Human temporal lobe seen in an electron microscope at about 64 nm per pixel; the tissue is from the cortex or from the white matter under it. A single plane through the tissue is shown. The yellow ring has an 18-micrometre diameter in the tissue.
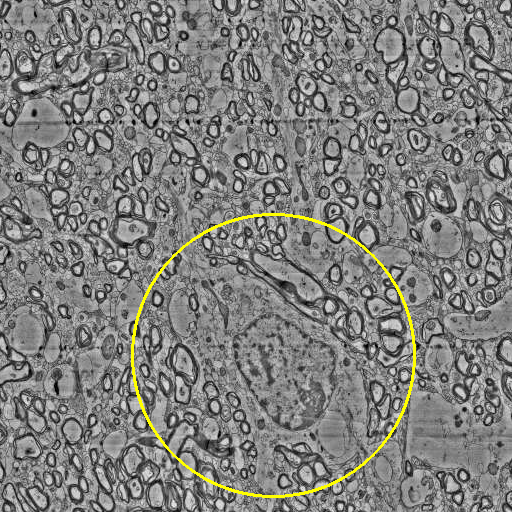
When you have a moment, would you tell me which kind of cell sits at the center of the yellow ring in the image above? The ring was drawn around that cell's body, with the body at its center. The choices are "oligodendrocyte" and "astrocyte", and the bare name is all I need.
astrocyte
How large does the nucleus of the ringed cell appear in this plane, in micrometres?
The nucleus appears roughly 8 by 6 micrometres in this plane.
